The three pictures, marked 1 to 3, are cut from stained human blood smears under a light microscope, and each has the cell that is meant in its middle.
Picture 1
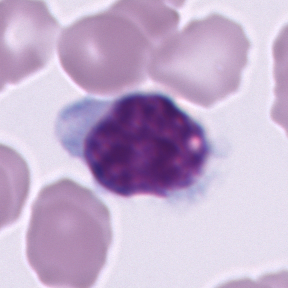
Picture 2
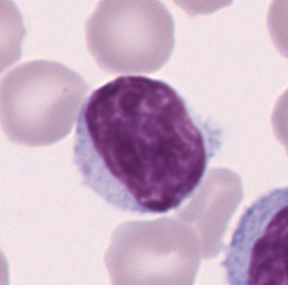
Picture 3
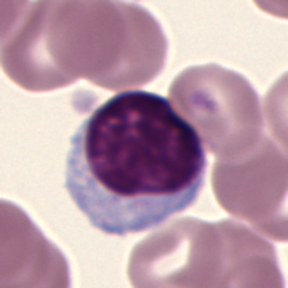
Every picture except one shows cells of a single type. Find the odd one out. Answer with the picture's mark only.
1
